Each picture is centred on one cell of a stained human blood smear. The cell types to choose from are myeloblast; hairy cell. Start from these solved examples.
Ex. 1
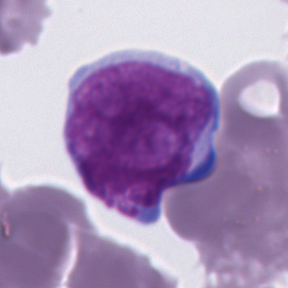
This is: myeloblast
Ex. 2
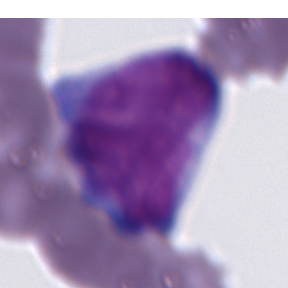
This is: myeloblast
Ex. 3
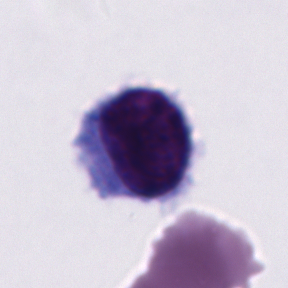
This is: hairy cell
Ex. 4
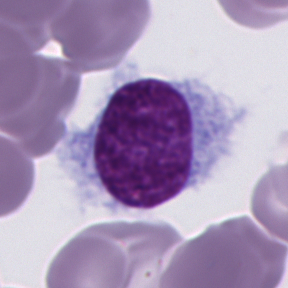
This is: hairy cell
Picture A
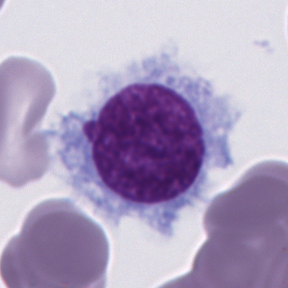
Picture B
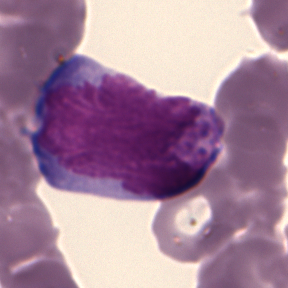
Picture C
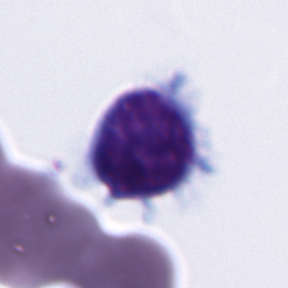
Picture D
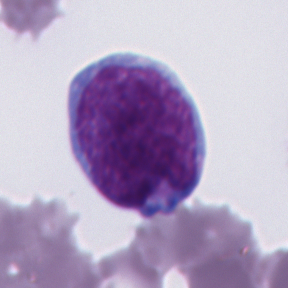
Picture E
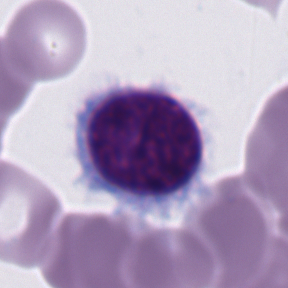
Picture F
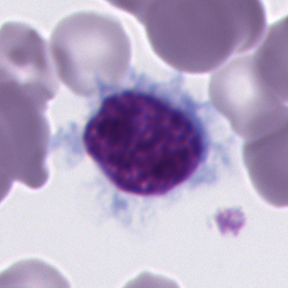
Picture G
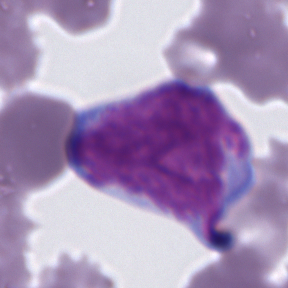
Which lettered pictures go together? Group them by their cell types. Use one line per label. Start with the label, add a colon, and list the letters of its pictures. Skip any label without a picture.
myeloblast: B, D, G
hairy cell: A, C, E, F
